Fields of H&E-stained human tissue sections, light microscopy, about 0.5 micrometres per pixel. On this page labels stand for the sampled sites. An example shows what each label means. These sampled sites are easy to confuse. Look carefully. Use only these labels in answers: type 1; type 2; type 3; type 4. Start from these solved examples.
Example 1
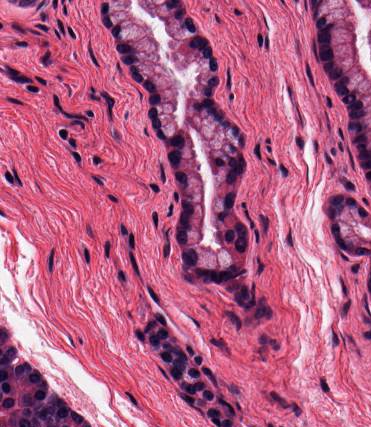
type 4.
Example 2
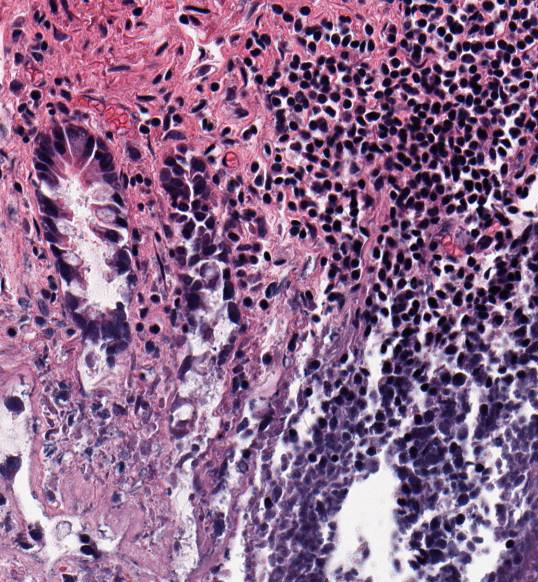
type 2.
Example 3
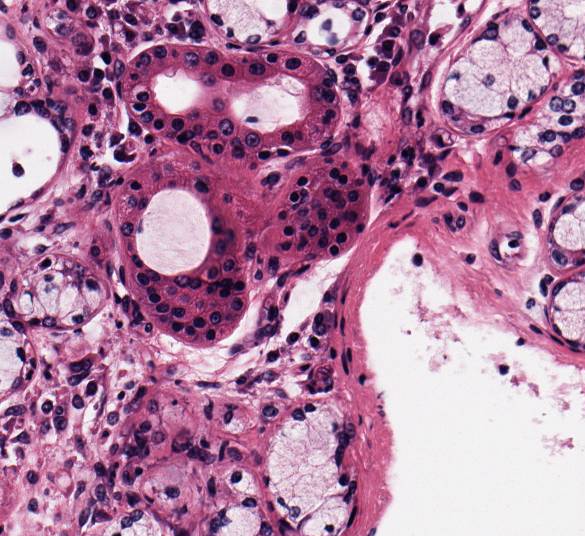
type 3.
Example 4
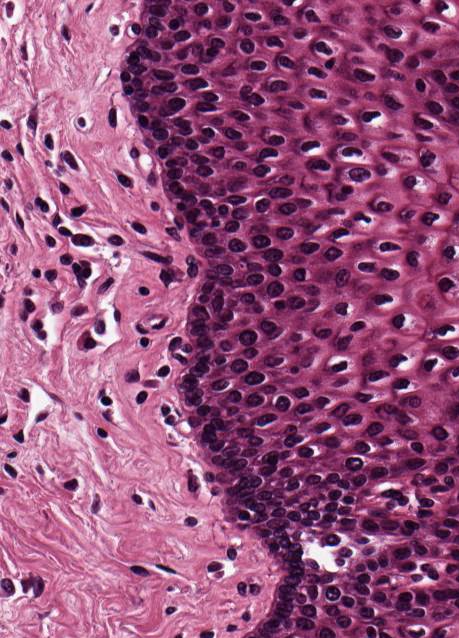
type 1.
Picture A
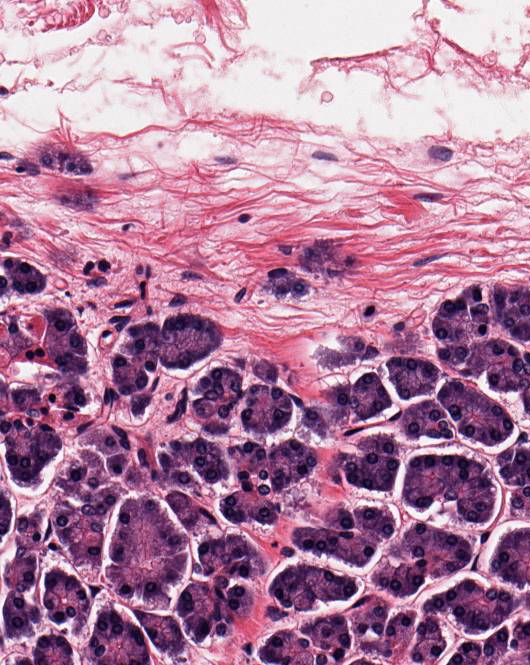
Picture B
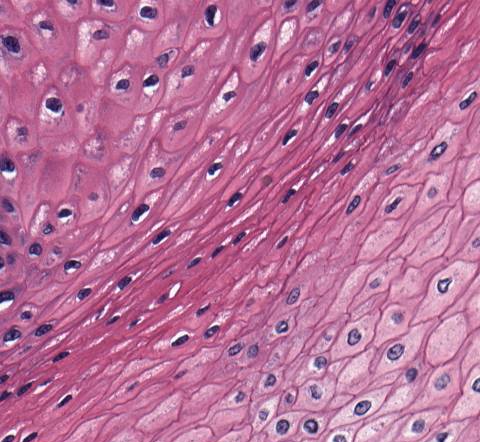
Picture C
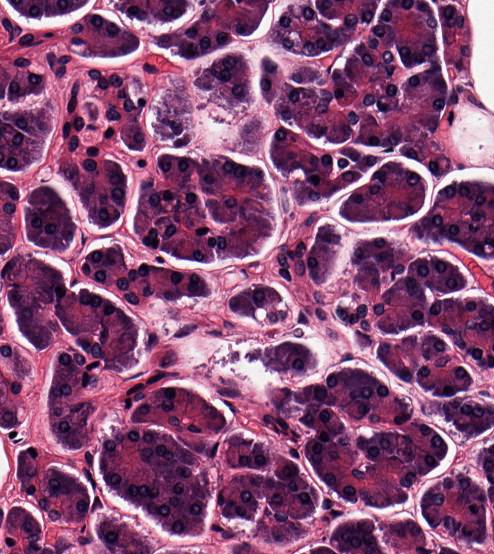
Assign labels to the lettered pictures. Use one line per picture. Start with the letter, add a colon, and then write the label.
A: type 4.
B: type 1.
C: type 4.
